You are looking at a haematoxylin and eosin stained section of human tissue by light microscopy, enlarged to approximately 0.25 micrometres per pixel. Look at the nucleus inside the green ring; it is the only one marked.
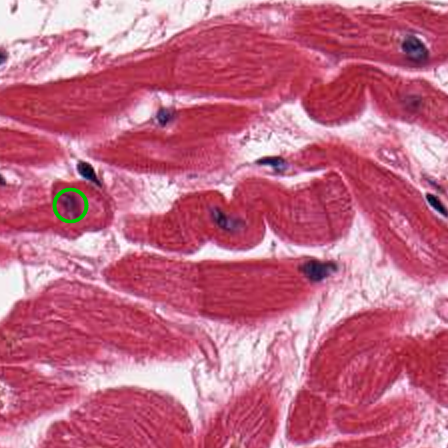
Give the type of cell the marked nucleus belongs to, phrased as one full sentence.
It is a cardiomyocyte whose nucleus is marked.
